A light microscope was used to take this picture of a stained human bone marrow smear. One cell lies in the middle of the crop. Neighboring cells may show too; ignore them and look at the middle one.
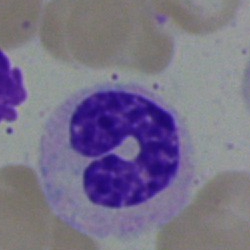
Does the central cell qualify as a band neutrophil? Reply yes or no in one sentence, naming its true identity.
Yes, the identification of the central cell as a band neutrophil is correct.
